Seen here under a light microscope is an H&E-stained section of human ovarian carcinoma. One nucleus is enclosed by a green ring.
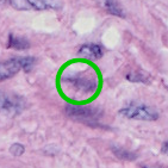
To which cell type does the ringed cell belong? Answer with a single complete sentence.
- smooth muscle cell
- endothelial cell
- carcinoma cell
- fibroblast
The cell type of the ringed cell is that of a fibroblast.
